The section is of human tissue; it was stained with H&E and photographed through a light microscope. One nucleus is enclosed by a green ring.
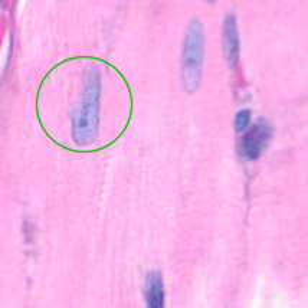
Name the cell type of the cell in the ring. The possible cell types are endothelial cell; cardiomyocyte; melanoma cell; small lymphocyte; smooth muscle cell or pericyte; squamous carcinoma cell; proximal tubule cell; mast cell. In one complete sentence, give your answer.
By its classification, the cell in the ring is a cardiomyocyte.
